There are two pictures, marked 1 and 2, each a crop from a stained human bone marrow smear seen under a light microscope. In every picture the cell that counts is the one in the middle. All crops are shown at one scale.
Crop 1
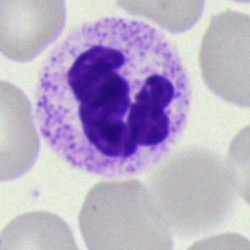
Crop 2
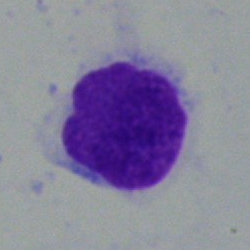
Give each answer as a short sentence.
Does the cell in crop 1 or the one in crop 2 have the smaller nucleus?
It is the nucleus in crop 1; the one in crop 2 has about 1.5 times its area.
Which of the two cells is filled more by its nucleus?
Of the two, the nucleus in crop 2 makes up the greater part of its cell.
